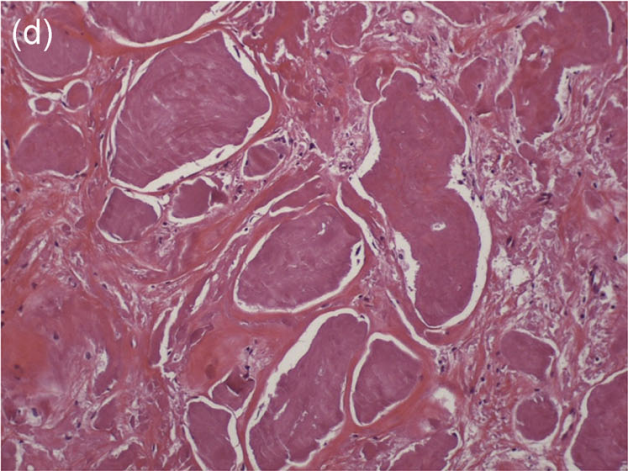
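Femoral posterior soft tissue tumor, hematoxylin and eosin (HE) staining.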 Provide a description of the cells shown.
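The deposits form large, rounded to irregular pink masses of glassy, homogeneous texture, some faintly streaked. Narrow clear clefts separate many masses from the surrounding tissue. No sheets of tumour cells are seen; the nodule consists almost entirely of this acellular pink material.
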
